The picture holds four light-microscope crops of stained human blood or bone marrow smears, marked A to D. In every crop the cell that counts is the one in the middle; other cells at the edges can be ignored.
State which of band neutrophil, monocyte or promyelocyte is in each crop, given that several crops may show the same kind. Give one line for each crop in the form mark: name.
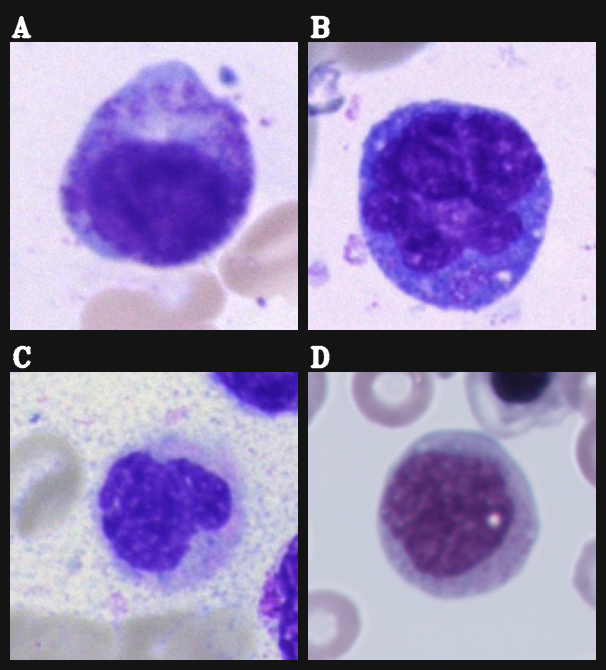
A: promyelocyte
B: monocyte
C: band neutrophil
D: monocyte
